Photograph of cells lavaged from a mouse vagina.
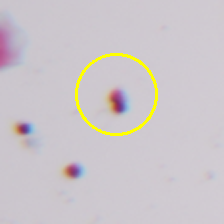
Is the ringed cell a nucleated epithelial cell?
No, it is a leukocyte.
